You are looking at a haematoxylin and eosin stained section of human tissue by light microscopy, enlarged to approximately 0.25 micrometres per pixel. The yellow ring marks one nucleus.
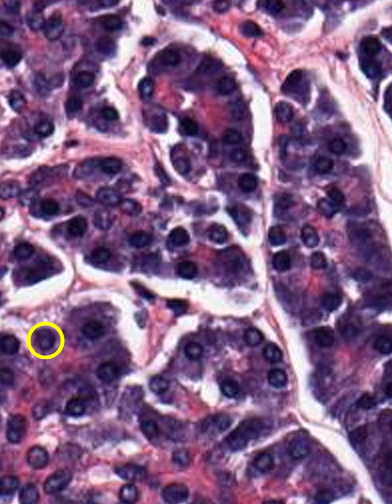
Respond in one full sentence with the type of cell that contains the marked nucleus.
A nucleus belonging to a pancreatic acinar cell is the one marked.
